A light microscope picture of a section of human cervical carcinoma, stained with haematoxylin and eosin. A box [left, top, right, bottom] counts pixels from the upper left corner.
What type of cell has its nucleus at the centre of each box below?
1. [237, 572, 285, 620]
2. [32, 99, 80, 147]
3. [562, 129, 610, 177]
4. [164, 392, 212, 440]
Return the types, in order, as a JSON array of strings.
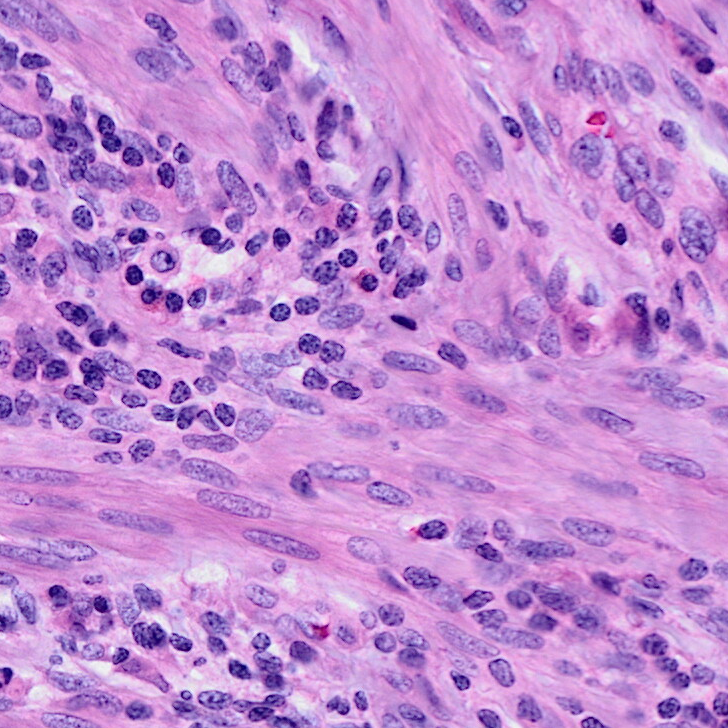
["endothelial cell", "lymphocyte", "endothelial cell", "lymphocyte"]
